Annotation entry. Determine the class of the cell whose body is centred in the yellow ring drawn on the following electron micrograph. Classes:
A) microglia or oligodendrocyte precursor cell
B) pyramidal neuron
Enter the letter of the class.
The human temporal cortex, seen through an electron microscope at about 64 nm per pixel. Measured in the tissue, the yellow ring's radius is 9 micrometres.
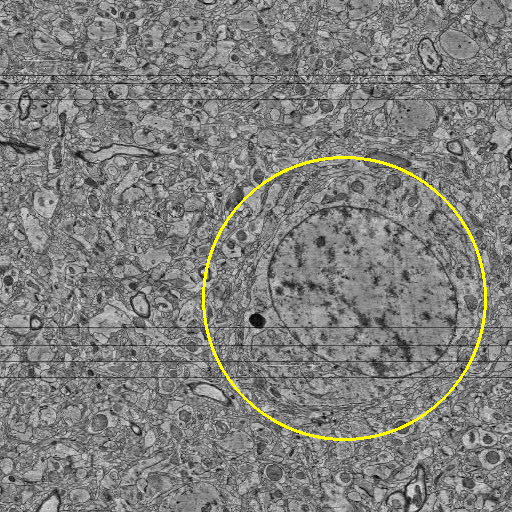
B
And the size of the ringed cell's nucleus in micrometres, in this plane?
About 13 micrometres by about 10 micrometres in this plane.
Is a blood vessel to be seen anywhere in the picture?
No, there is none.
